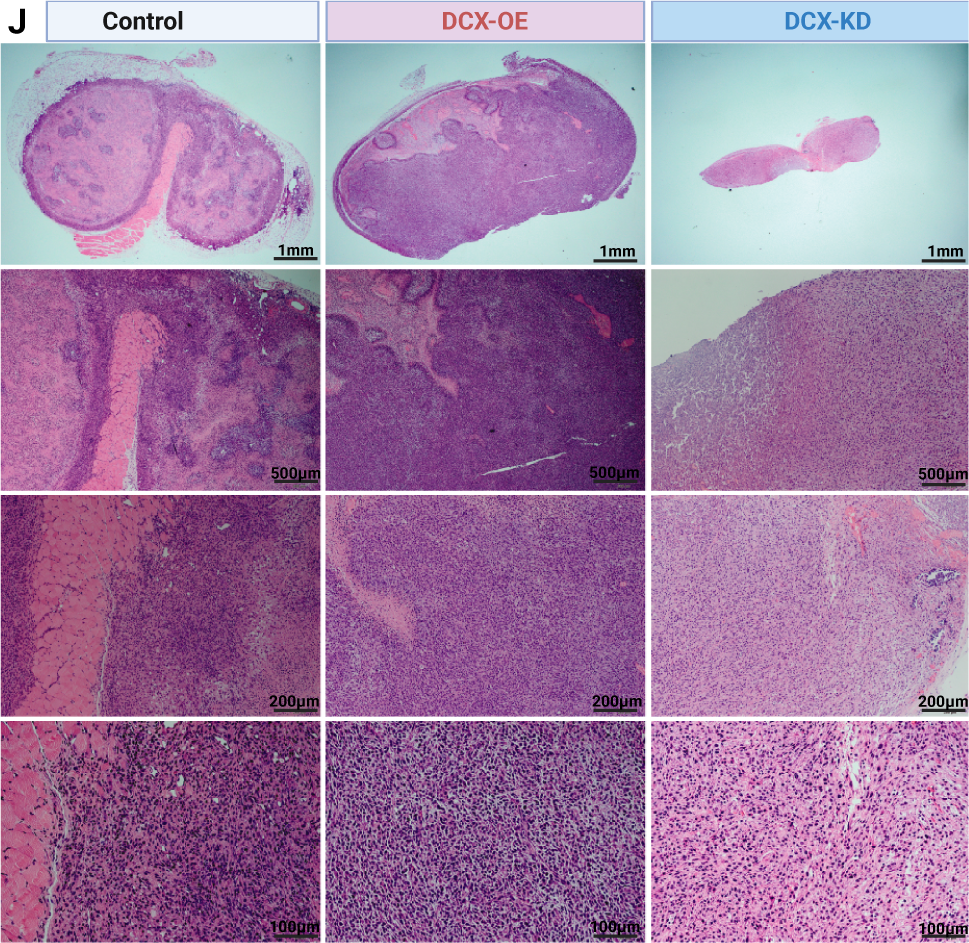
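Subcutaneous tumor sections stained with hematoxylin and eosin, shown from low to high magnification. Two specimens are large nodular masses of densely cellular, purple-staining tissue with irregular lobules, while the third is a small, thin, paler piece of tissue. One mass is bordered by a band of pink, striated skeletal muscle fibers. At higher magnification the tumors are sheets of closely packed cells with oval to elongated dark nuclei and little cytoplasm. Pink muscle fibers lie directly against the cellular sheets at the tumor margin.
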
